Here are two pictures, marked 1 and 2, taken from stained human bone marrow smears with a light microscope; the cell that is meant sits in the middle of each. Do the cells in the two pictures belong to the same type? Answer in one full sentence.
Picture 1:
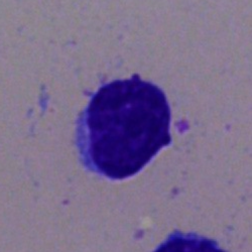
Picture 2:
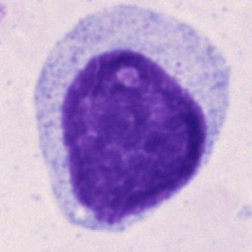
No, they differ: the cell is a lymphocyte in picture 1 and a promyelocyte in picture 2.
